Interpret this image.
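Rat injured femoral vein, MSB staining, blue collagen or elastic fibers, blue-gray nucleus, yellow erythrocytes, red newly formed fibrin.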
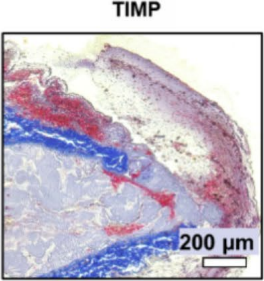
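A broad, dense red band runs across the upper part of the field, granular and irregular at its edges. Below that, a wide pale blue-gray area of loose tissue fills the lower half. Fine dark speckles are scattered in the pale material above the red band, and thinner red streaks extend into the deeper tissue.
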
